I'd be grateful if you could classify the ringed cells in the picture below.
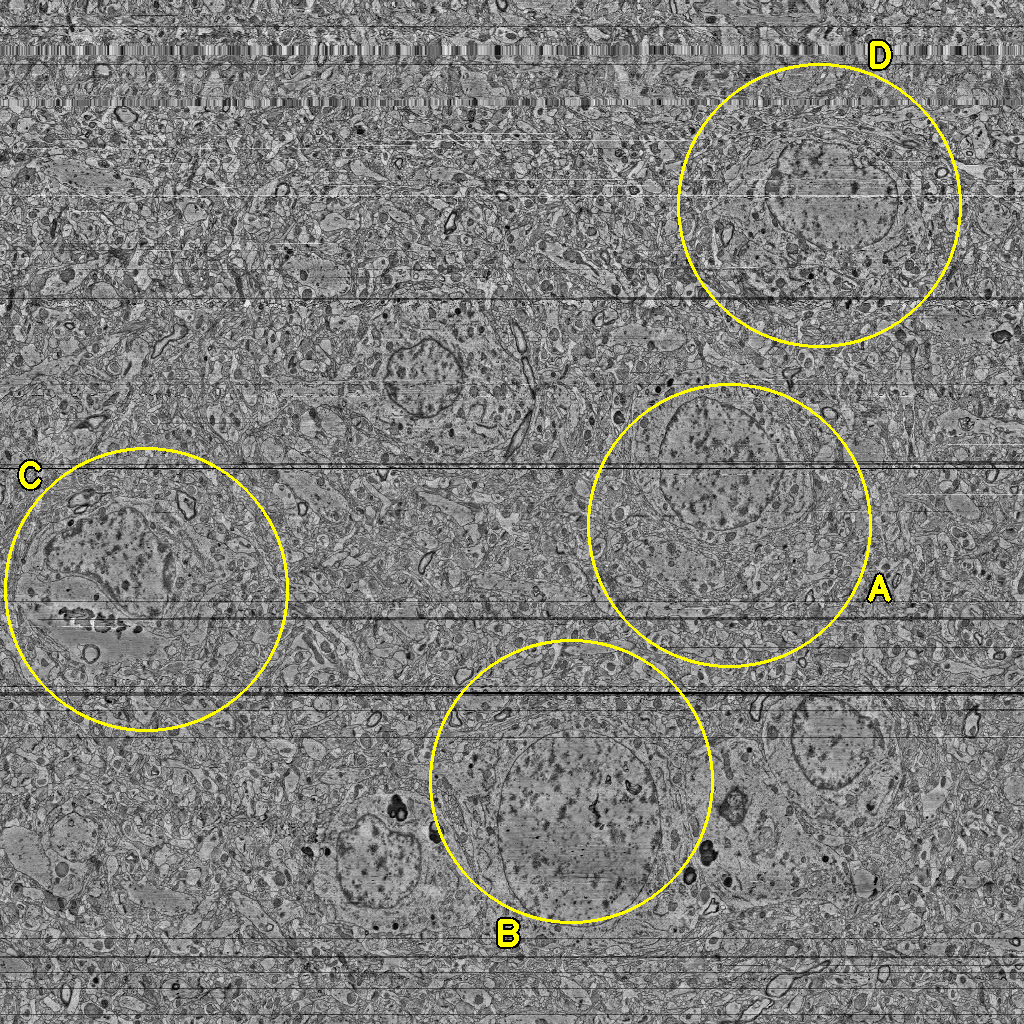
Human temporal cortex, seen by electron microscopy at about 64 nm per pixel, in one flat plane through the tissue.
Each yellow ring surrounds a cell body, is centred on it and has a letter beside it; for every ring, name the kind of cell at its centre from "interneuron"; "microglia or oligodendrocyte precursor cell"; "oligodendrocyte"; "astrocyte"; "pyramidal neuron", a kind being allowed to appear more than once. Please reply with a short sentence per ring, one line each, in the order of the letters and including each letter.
In ring A we have a pyramidal neuron.
In ring B we have a pyramidal neuron.
In ring C we have an interneuron.
In ring D we have a pyramidal neuron.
